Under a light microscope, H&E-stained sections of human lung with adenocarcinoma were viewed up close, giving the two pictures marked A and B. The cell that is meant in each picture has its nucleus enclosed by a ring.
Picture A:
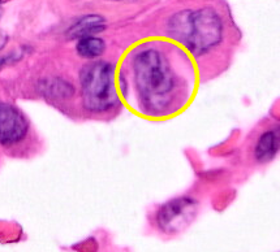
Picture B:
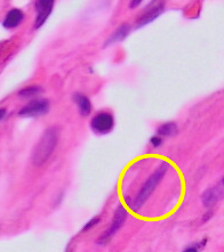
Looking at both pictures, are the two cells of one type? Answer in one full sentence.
No; the cell in picture A is a carcinoma cell, while the one in picture B is a “smooth muscle cell or pericyte”.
